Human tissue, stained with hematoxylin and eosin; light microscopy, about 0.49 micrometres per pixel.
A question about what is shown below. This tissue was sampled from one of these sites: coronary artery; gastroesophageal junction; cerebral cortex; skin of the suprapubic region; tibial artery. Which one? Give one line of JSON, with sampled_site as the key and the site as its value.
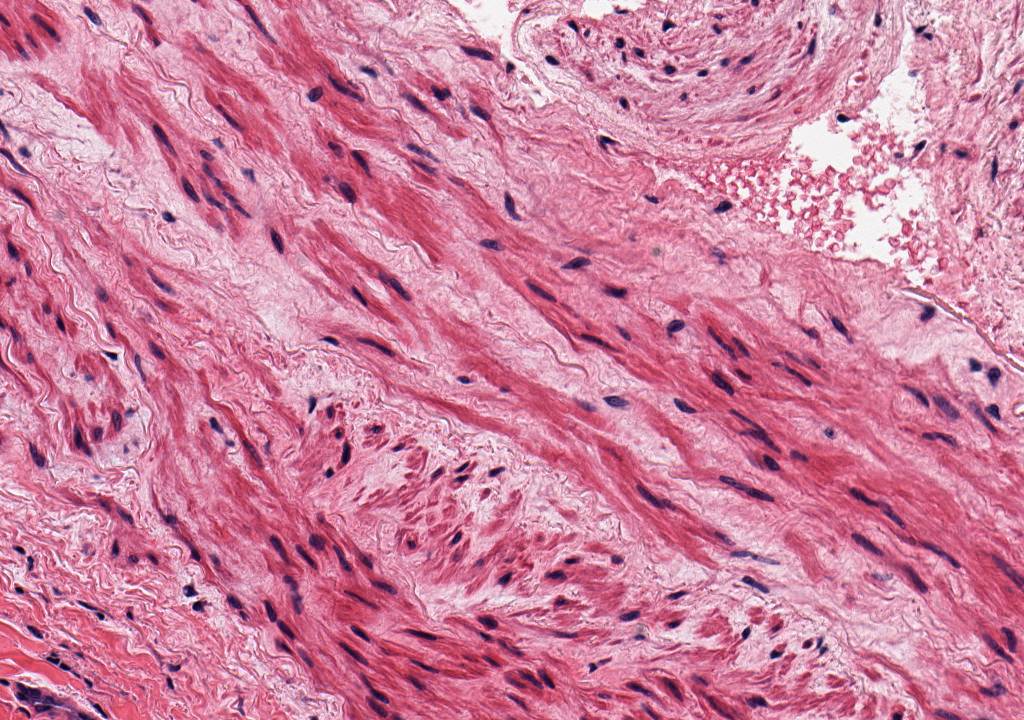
{"sampled_site": "coronary artery"}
